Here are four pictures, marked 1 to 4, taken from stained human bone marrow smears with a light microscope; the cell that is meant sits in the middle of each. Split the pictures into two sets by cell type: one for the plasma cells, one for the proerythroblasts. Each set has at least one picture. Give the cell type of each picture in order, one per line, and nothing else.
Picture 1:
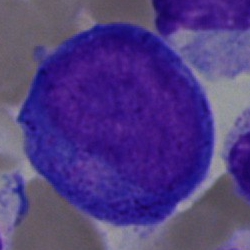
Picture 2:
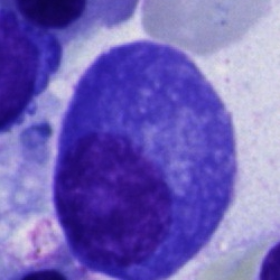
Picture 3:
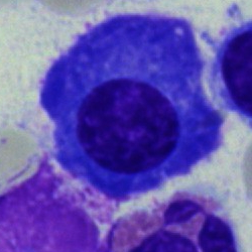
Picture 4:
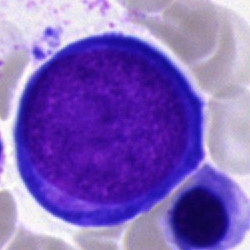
proerythroblast
plasma cell
plasma cell
proerythroblast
